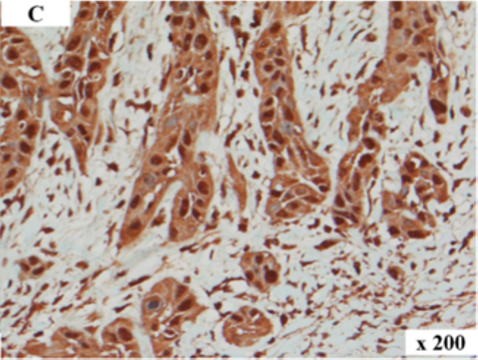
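Tumour cells form small nests, cords and elongated strands lying within a pale loose stroma. Many tumour cell nuclei are large, oval and stained intensely dark brown, with brown cytoplasm around them. Nuclei vary in size and shape. Spindle-shaped stromal cells between the nests also show brown nuclei.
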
